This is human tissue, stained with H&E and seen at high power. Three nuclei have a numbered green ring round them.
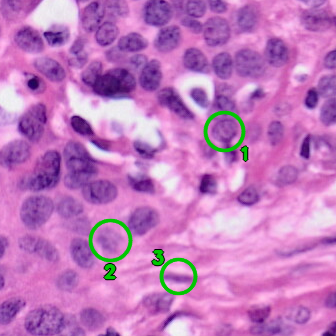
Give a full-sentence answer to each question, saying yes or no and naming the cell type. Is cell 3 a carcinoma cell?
No, a carcinoma cell is not what cell 3 is; it is a fibroblast.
